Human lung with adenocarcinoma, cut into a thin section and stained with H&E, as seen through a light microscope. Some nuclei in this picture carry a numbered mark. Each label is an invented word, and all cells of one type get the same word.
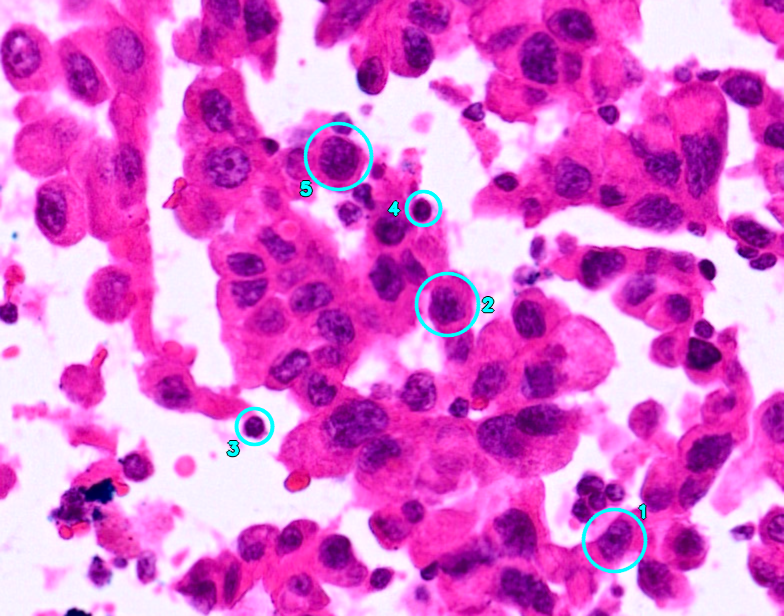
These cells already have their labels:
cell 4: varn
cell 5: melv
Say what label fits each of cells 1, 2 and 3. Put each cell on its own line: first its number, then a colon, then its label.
1: melv
2: melv
3: varn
